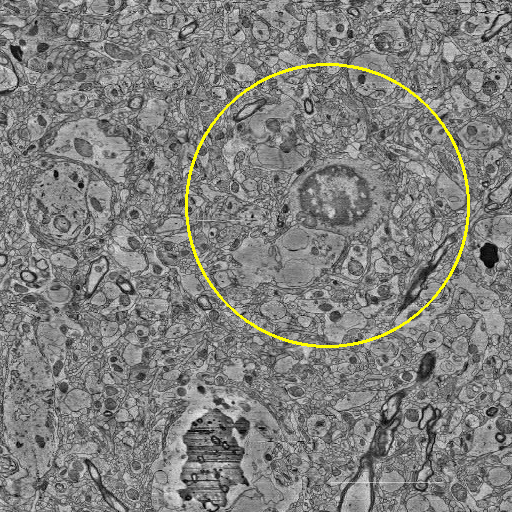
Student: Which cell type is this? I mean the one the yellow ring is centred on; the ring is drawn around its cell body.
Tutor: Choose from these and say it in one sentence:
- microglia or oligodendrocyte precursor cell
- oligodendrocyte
The cell the ring is centred on is an oligodendrocyte.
